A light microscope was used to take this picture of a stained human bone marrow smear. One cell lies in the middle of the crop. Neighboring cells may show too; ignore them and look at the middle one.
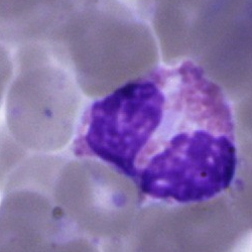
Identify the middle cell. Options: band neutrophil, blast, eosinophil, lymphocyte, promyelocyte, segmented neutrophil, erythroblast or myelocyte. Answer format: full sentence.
The single cell at the center of the crop is an eosinophil.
